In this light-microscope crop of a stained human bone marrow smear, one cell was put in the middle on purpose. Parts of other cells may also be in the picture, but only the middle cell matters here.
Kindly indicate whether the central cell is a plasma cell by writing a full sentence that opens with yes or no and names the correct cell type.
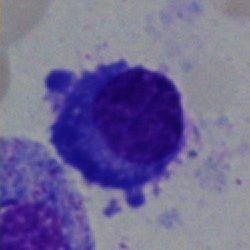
Yes, the middle cell is properly termed a plasma cell.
